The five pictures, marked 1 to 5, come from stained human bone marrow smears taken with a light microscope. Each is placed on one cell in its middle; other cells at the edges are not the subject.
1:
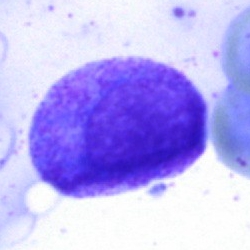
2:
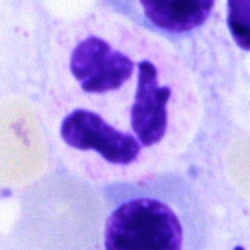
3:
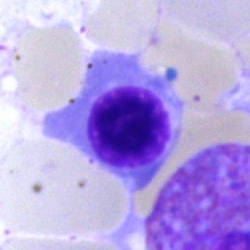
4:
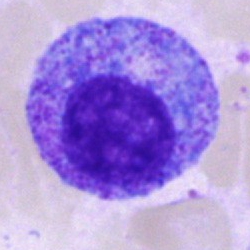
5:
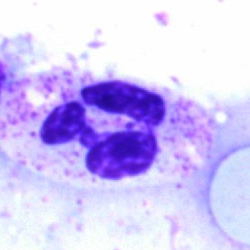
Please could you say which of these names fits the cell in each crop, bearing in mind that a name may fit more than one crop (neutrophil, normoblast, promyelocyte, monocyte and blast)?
1: promyelocyte
2: neutrophil
3: normoblast
4: promyelocyte
5: neutrophil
